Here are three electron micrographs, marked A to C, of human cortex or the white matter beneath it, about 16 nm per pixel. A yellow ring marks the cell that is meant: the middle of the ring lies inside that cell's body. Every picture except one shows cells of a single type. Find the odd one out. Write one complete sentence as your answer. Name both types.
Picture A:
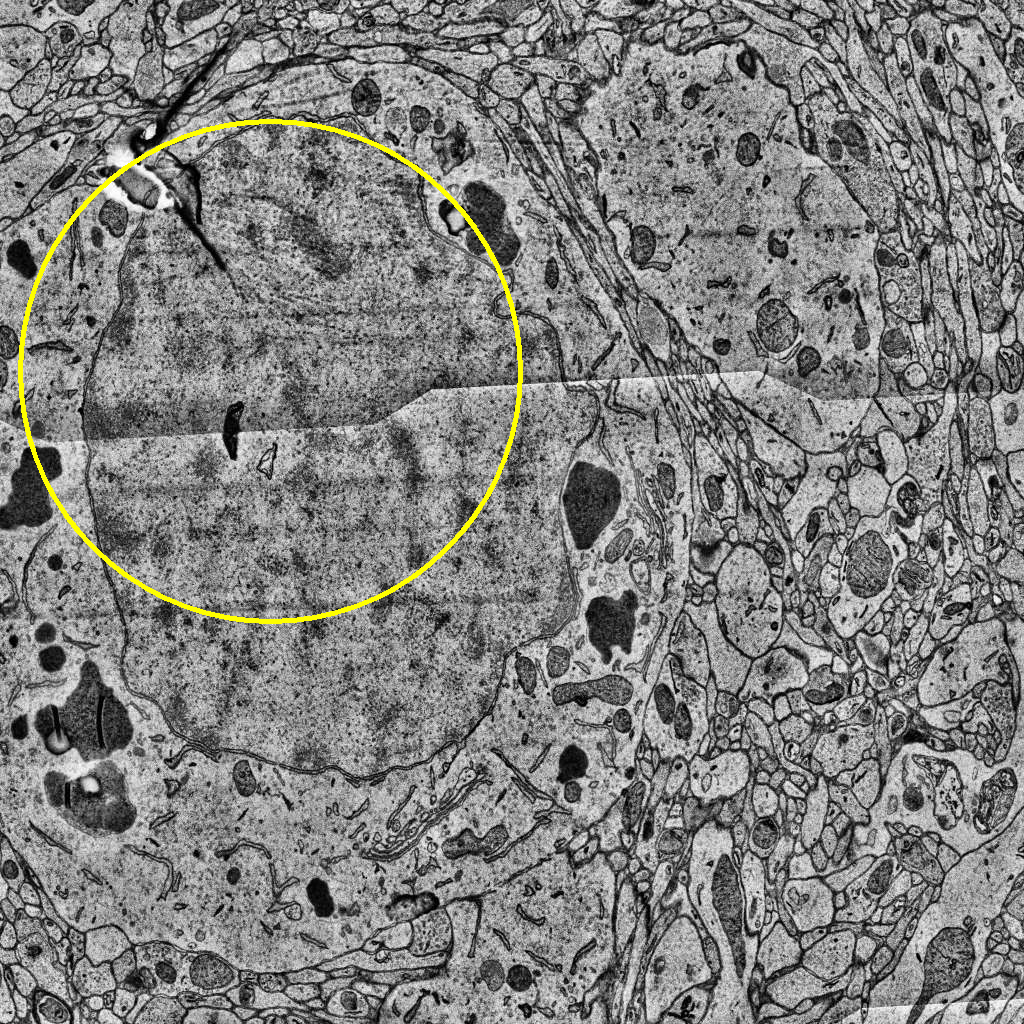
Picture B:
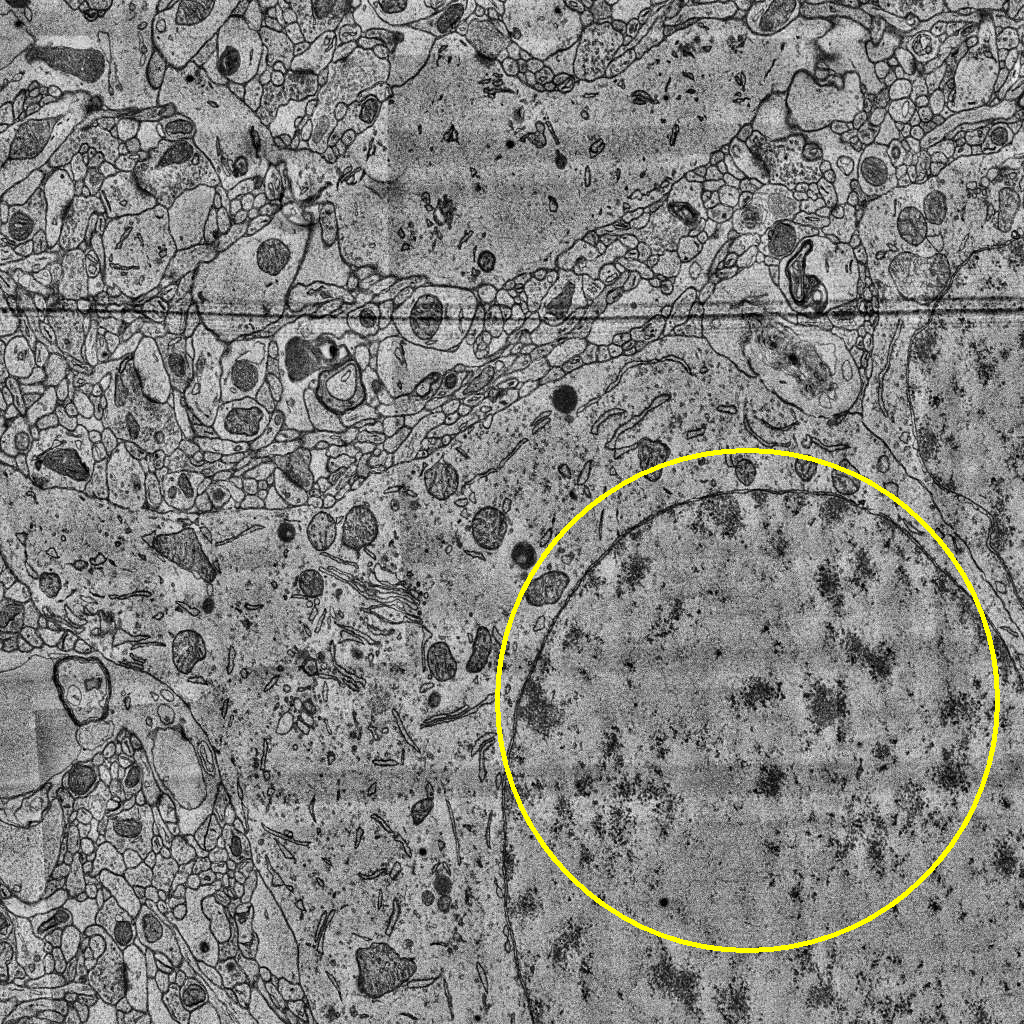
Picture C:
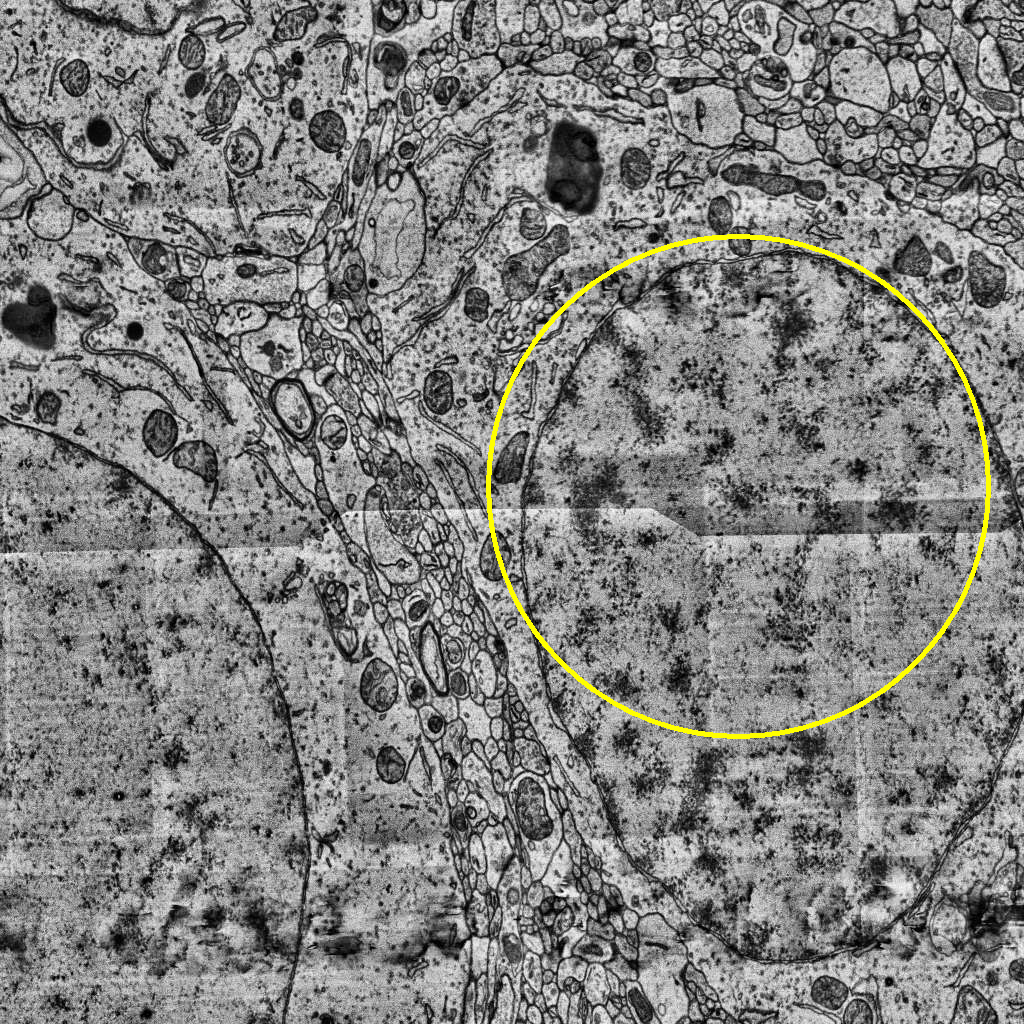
All pictures except B show interneurons; picture B shows a pyramidal neuron.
